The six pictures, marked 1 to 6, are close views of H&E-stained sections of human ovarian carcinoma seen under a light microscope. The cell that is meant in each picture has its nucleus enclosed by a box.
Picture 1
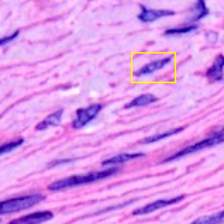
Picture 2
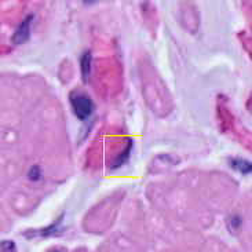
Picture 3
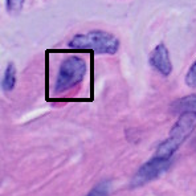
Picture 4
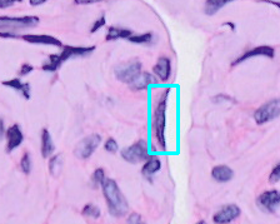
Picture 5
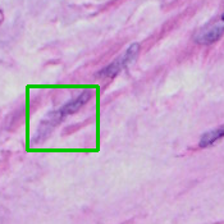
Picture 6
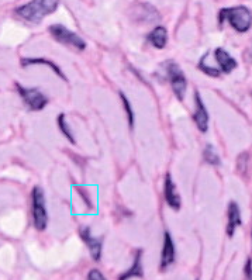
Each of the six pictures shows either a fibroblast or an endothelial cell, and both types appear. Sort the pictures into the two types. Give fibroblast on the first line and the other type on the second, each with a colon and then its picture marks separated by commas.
fibroblast: 1, 5, 6
endothelial cell: 2, 3, 4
